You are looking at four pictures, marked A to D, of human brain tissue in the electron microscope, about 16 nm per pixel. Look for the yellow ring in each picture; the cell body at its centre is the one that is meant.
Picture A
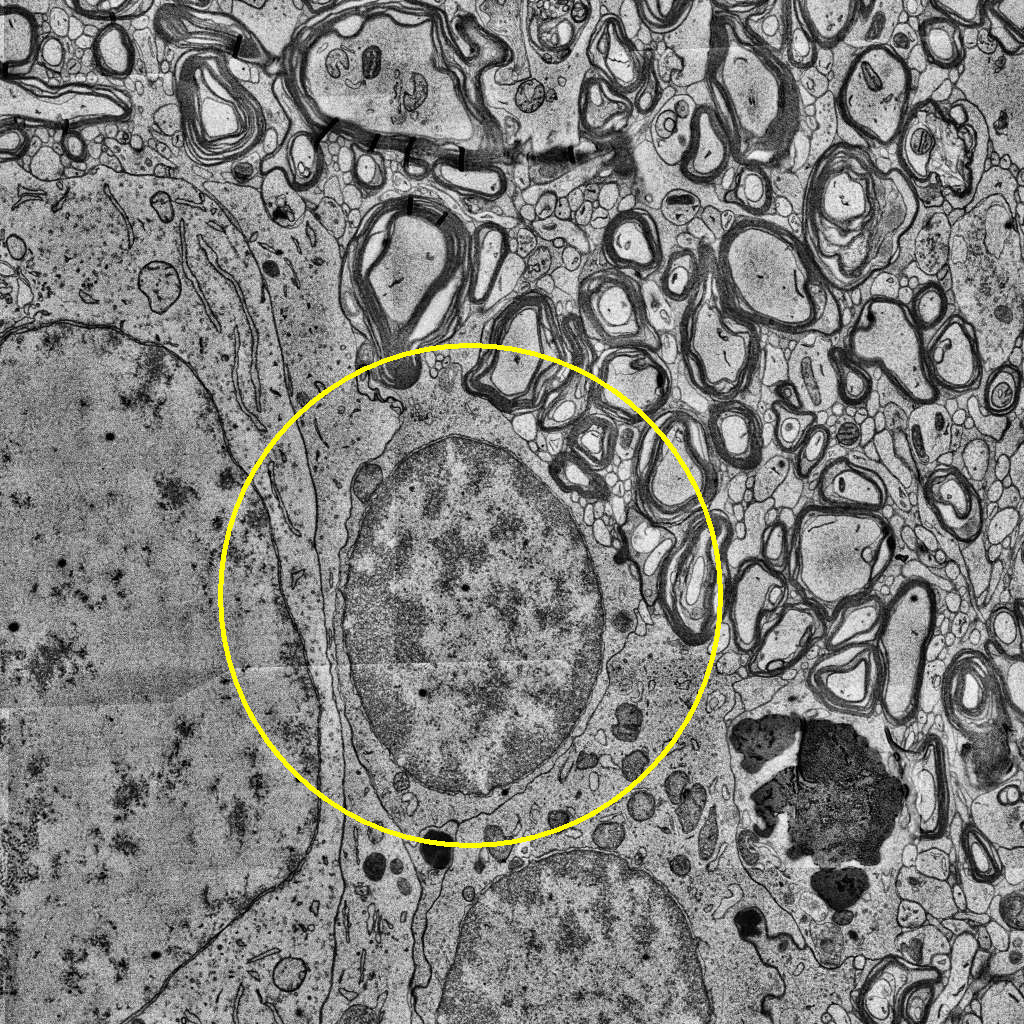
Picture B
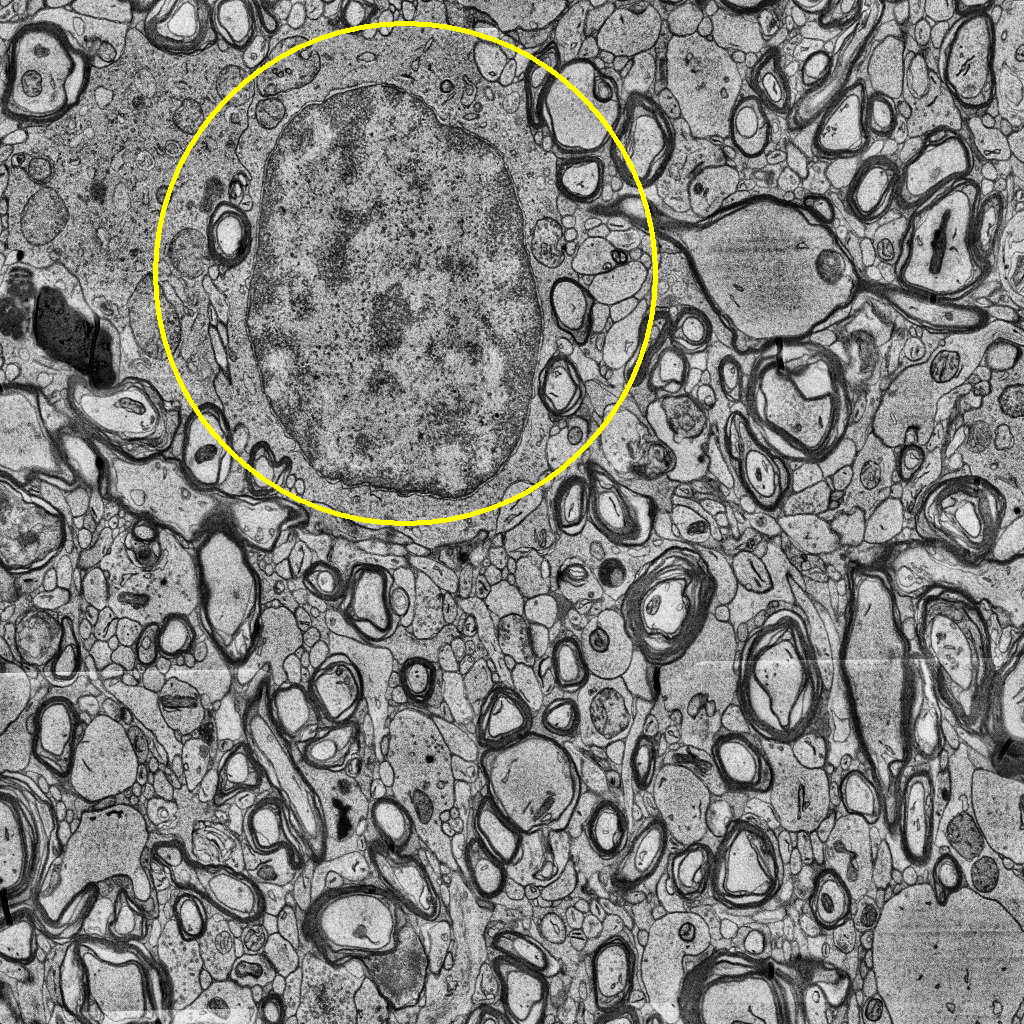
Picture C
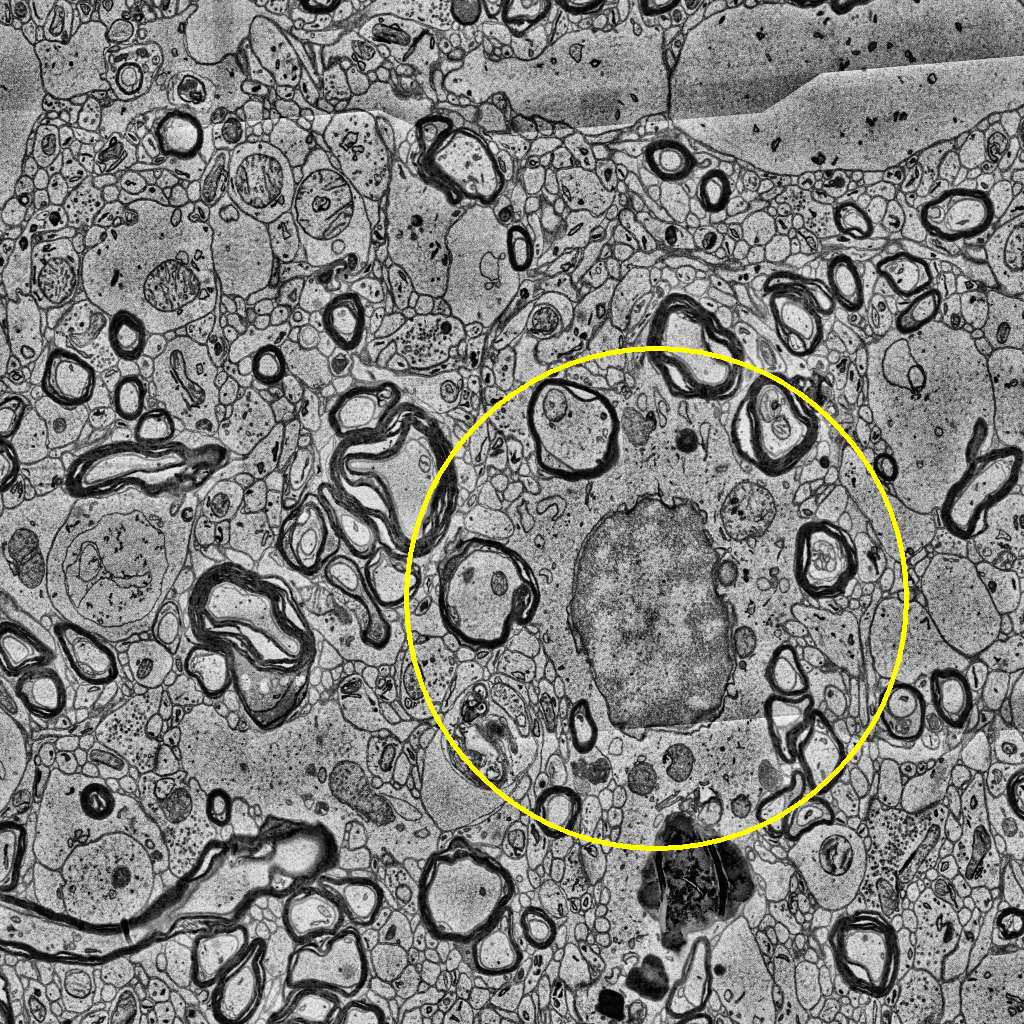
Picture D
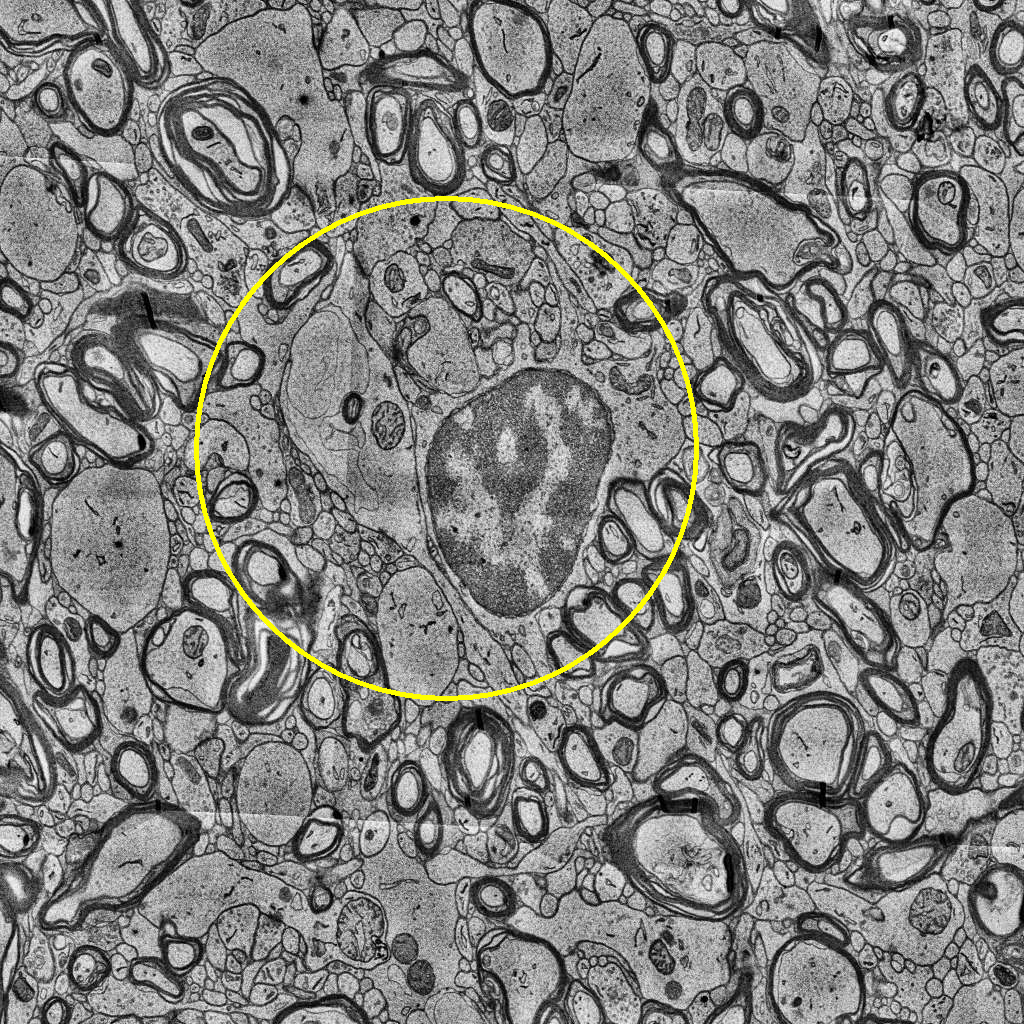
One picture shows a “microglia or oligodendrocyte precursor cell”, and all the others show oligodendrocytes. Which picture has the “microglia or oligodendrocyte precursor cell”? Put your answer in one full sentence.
The cell in picture D is the “microglia or oligodendrocyte precursor cell”.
